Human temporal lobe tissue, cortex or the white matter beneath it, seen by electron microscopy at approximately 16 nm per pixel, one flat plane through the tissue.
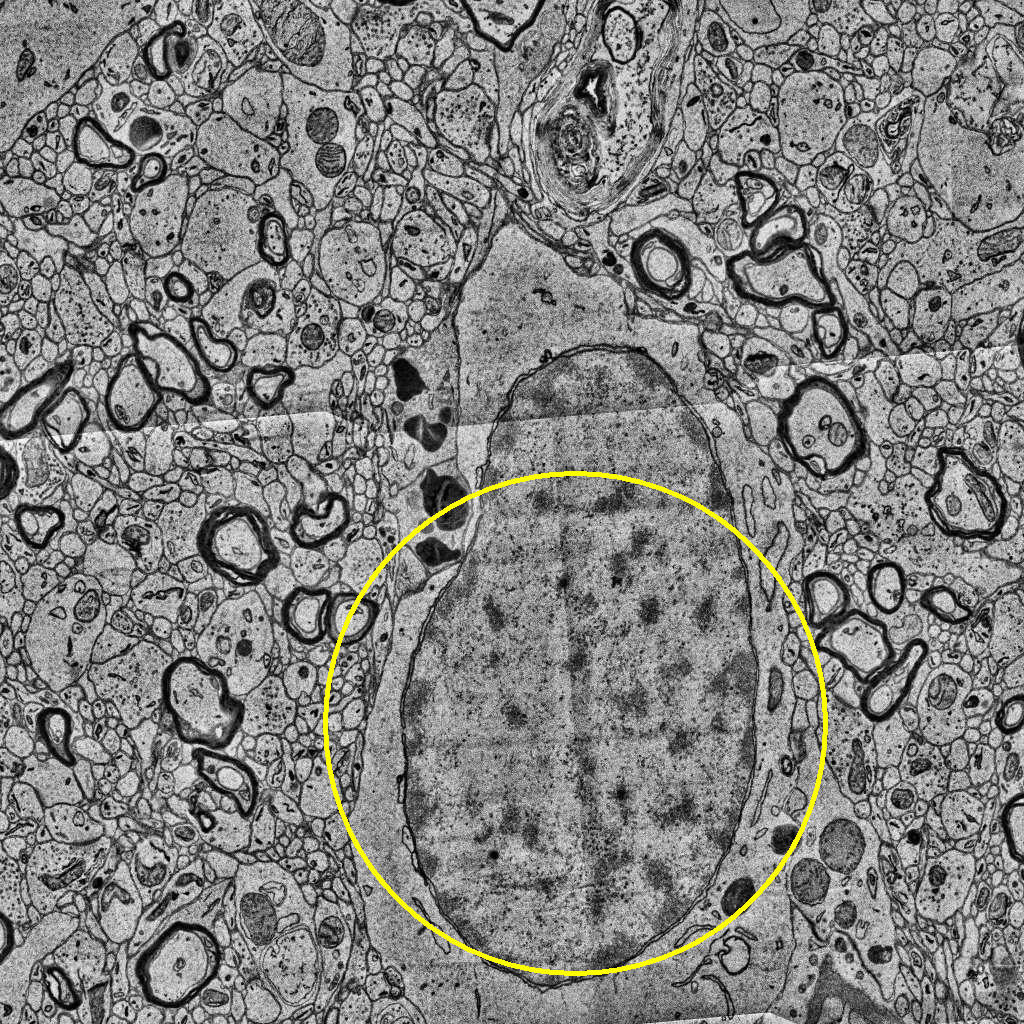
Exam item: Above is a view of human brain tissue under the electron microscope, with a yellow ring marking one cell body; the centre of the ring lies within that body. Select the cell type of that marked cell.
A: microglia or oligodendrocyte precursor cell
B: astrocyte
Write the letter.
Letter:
A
